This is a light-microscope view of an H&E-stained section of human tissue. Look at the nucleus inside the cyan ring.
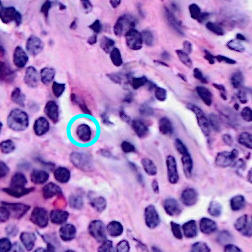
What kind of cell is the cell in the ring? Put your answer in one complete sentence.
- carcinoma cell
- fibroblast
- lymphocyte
Typologically, the cell in the ring is a lymphocyte in this section.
